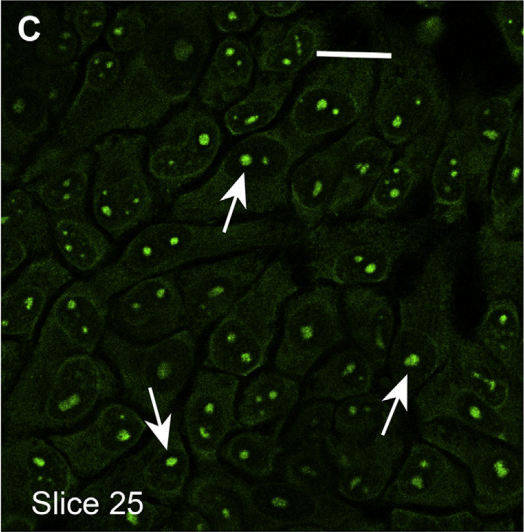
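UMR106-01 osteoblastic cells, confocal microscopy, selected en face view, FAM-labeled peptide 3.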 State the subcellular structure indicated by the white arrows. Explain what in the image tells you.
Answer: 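Each arrow points to a small bright round dot inside an oval nucleus. Most nuclei hold one to a few such bright dots. The nuclei lie in a flat sheet of polygonal cells with faint outlines.
Nucleoli.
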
